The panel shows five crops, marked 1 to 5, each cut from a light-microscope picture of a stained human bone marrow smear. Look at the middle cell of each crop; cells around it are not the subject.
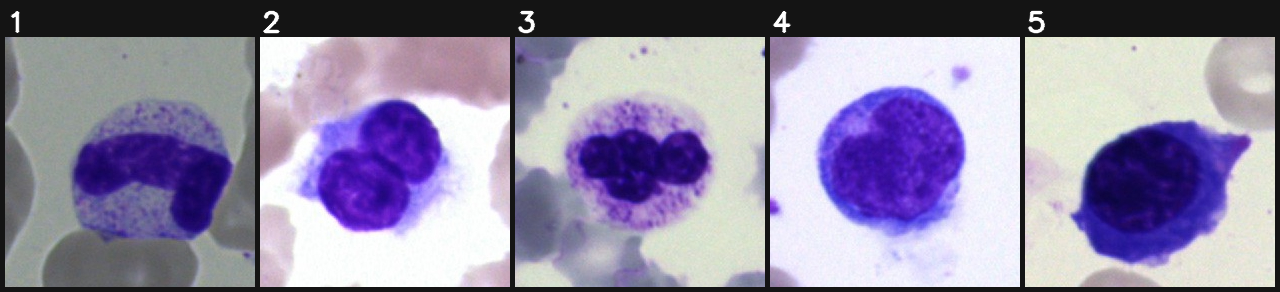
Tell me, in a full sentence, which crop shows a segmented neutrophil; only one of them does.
The requested cell, a segmented neutrophil, is the one in crop 3.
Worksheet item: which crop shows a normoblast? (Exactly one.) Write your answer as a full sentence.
The crop with a normoblast at its center is crop 5.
